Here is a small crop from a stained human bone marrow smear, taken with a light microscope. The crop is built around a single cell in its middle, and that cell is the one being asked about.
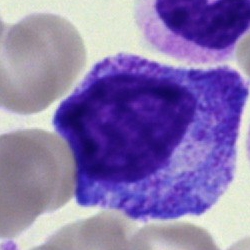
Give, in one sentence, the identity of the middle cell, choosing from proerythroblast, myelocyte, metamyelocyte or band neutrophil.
The cell of interest, in the center, is a myelocyte.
